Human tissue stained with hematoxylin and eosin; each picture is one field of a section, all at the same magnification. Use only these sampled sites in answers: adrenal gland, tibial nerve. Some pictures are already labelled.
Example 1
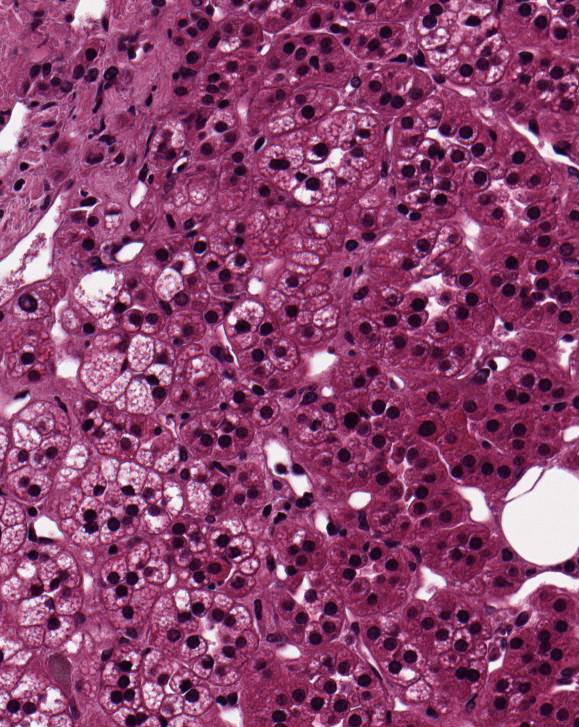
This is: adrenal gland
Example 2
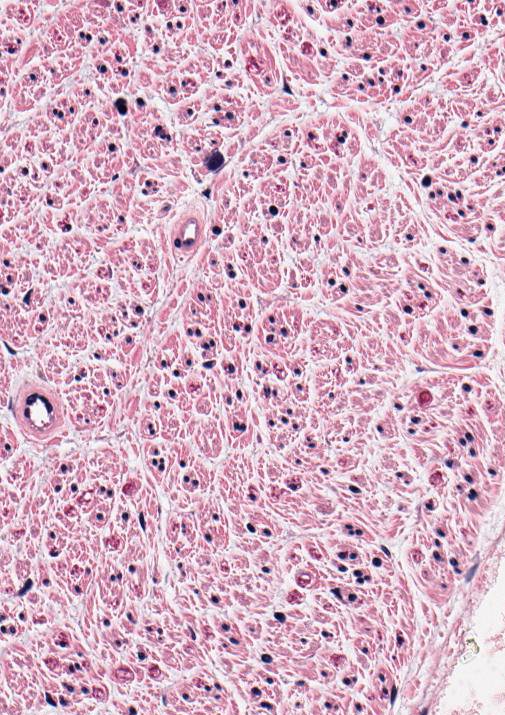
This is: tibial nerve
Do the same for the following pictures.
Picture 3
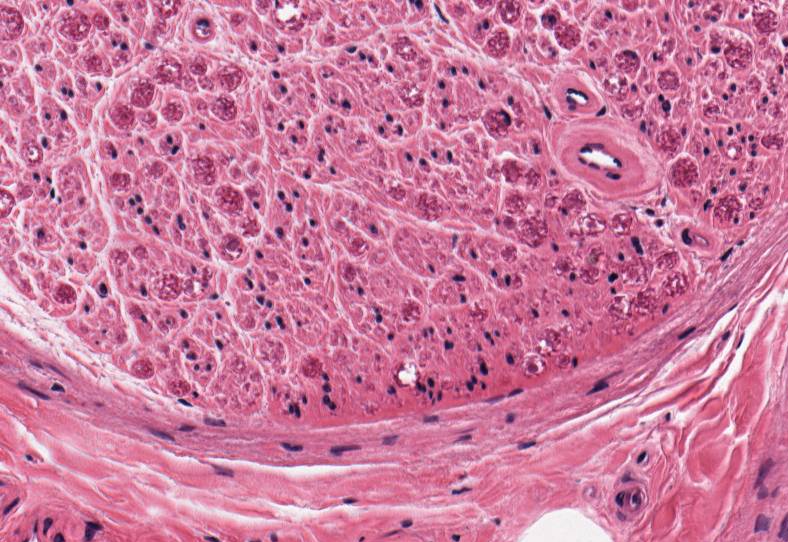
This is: tibial nerve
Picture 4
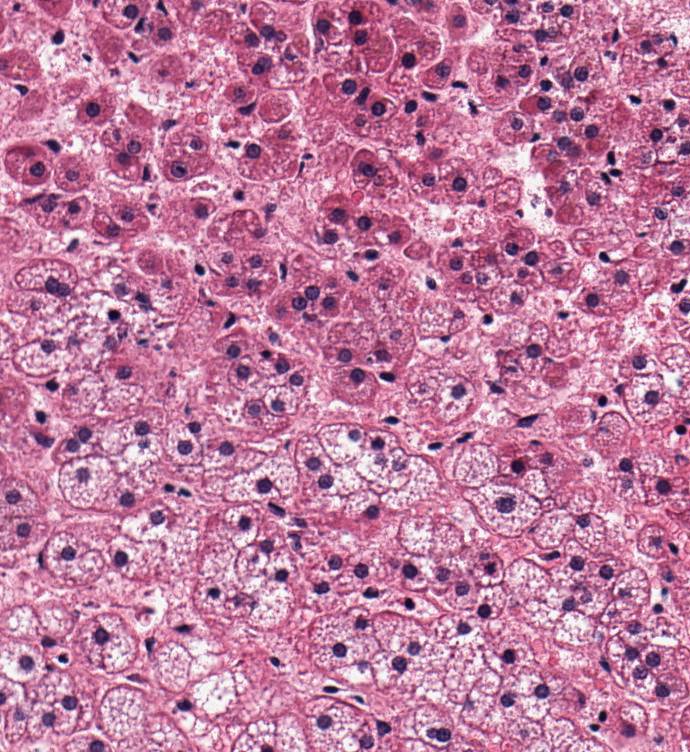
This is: adrenal gland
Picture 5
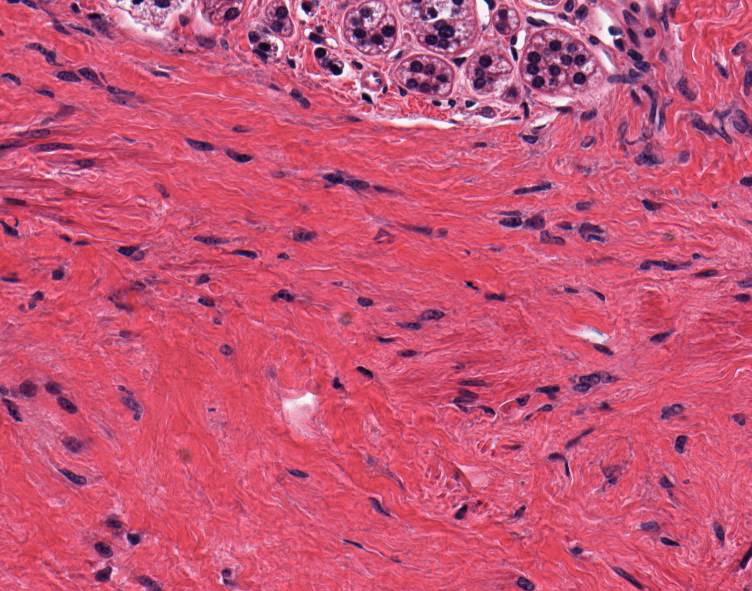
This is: adrenal gland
